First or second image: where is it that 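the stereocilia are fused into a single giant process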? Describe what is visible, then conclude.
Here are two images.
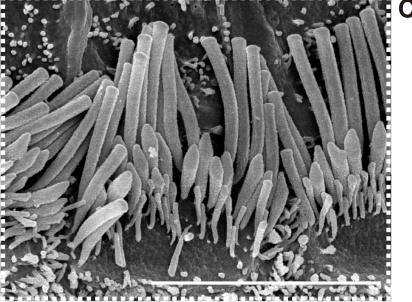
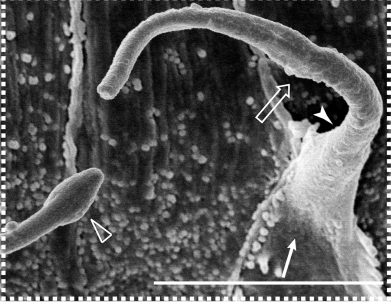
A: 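The second image. Second image: one thick, long, curved process with a broad base rises from the surface. First image: many separate slender rod-like projections stand in graded rows.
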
